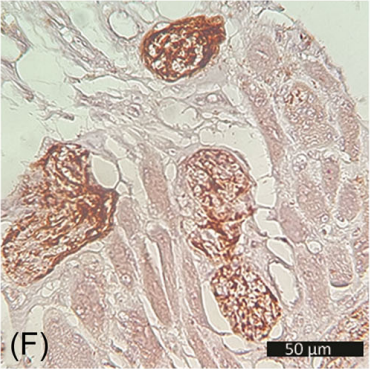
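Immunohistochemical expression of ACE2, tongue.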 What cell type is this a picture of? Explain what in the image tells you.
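Skeletal muscle fibers. Long pale brown fibers running in parallel. Dark brown rounded bundles lie between the fibers.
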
